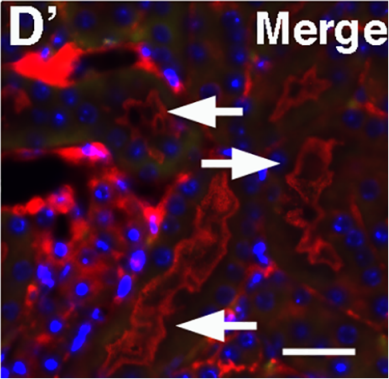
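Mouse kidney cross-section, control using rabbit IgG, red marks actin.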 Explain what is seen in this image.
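Renal tubules are seen in section, their lumens outlined by fine, wavy red lines of the apical cell surface. Blue nuclei of the tubule epithelial cells lie around these lumens, and some elongated nuclei crowd the tissue between tubules. Large bright red patches lie in the spaces between tubules. No green staining is seen along the luminal surfaces.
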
